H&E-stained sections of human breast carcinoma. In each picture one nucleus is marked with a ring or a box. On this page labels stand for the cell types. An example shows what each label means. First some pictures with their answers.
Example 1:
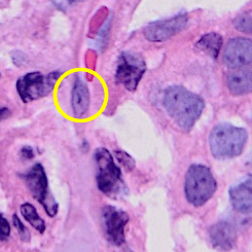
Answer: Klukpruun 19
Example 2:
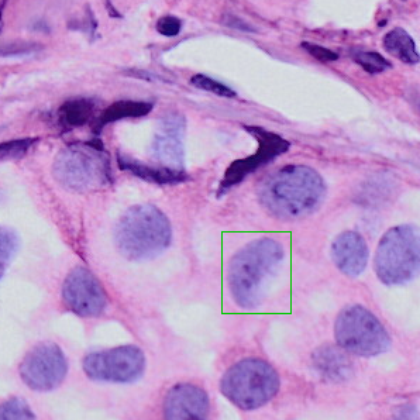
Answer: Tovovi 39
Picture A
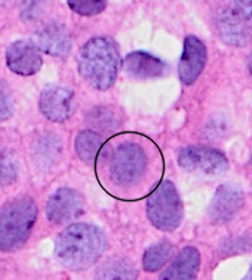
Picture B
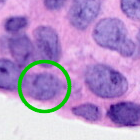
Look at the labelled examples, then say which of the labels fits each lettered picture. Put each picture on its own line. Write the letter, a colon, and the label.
A: Tovovi 39
B: Tovovi 39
